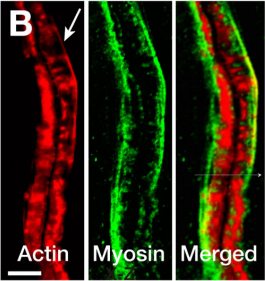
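Green signal forms thin lines flanking and running along the red bands. In the merged image the green overlaps partly with one red line, appearing yellow. An arrow at the top points to one of the red lines.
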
